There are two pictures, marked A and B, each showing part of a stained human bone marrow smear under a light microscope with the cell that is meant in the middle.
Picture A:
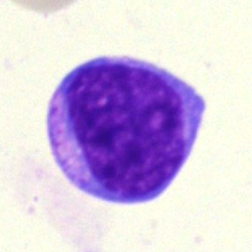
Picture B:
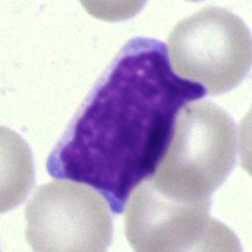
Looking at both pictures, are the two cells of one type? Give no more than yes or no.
yes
